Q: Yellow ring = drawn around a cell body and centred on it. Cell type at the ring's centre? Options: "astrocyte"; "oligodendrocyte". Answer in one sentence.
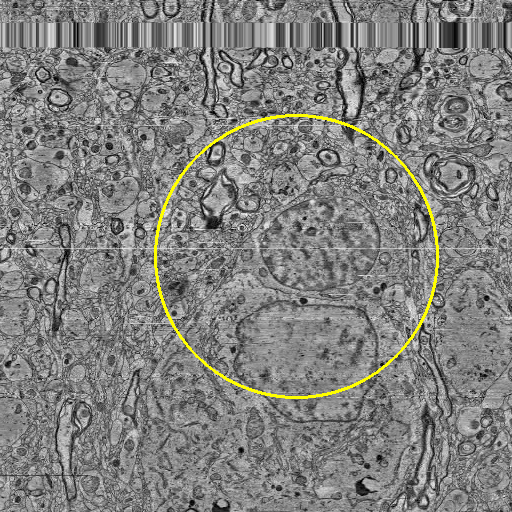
Centred in the ring is an oligodendrocyte.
